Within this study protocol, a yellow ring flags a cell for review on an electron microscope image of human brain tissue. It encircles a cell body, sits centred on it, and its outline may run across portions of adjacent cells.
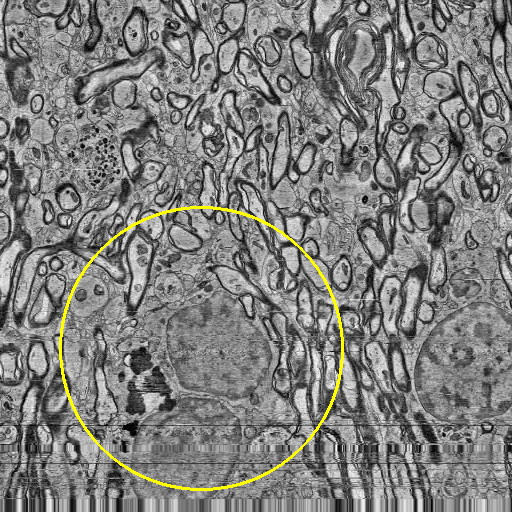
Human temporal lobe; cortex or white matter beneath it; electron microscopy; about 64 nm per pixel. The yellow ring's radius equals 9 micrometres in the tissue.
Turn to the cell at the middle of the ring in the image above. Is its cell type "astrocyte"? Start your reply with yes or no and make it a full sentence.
No, the cell at the ring's centre in the image above has another cell type.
